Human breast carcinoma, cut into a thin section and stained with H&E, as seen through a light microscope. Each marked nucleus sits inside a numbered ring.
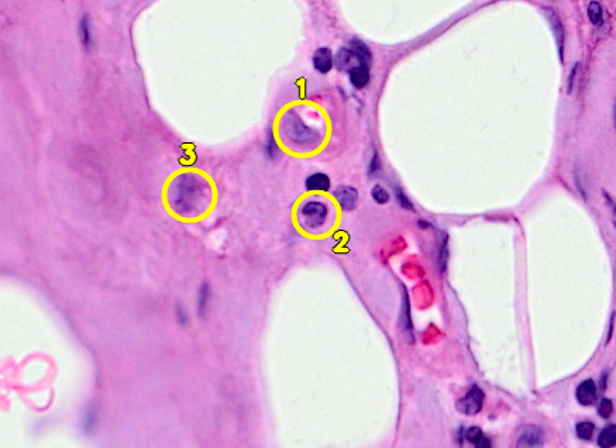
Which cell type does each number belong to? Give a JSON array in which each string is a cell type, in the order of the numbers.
["endothelial cell", "lymphocyte", "fibroblast"]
